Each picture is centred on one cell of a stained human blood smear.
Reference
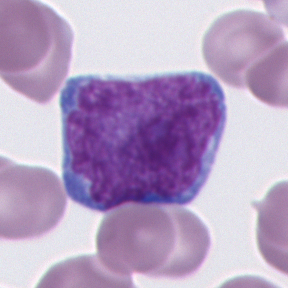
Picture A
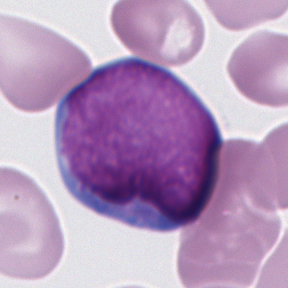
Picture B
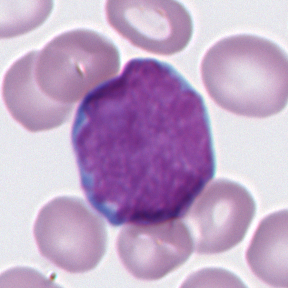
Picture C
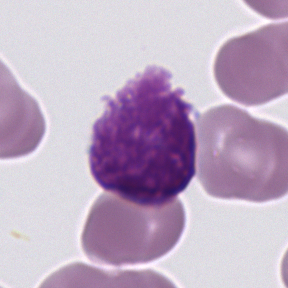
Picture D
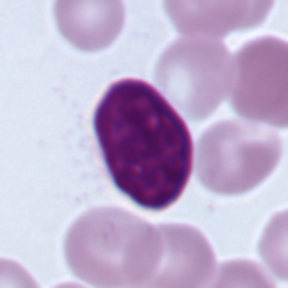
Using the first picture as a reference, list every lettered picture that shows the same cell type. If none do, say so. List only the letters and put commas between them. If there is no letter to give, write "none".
A, B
